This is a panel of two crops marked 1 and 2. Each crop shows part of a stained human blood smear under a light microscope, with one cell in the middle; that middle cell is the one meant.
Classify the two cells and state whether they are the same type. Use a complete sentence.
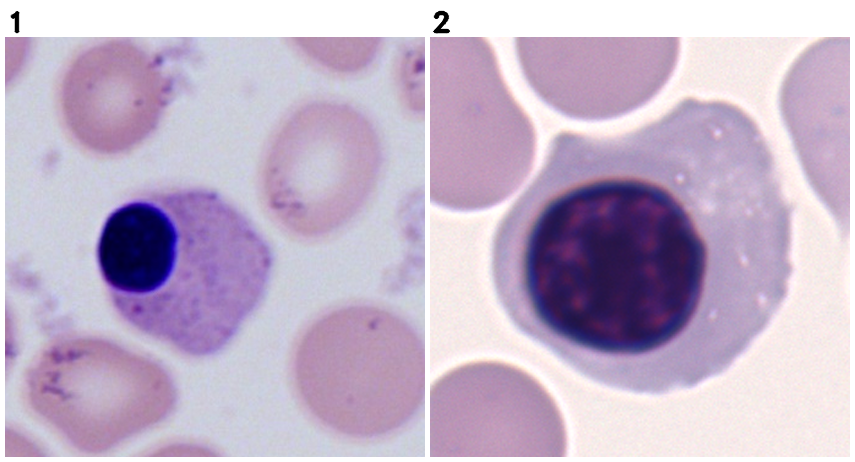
Yes, the cells centred in the two crops are both normoblasts.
